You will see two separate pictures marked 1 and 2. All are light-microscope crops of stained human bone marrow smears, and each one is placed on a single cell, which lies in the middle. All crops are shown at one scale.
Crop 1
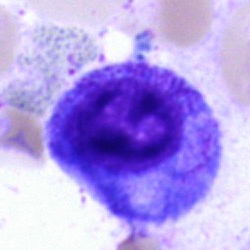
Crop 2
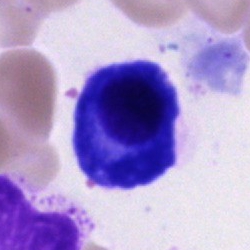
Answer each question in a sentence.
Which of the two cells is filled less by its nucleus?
It is the cell in crop 1 that is filled less by its nucleus.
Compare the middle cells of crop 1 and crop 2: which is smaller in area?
It is the cell in crop 2; the cell in crop 1 has about 1.5 times its area.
